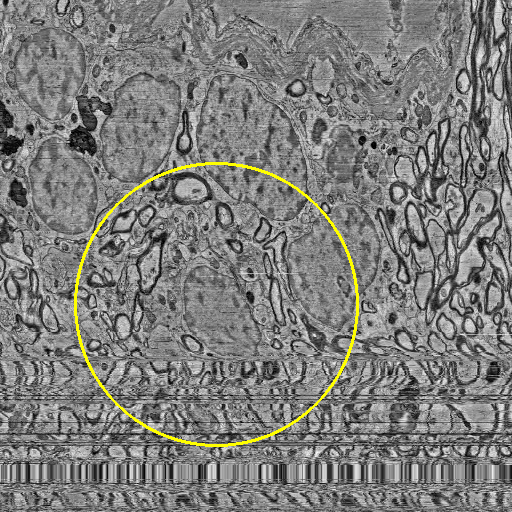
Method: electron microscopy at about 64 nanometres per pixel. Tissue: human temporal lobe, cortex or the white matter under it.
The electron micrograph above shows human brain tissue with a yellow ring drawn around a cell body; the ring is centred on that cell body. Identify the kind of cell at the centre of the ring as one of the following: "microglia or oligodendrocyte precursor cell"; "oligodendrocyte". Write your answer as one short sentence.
The cell at the centre of the ring is an oligodendrocyte.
